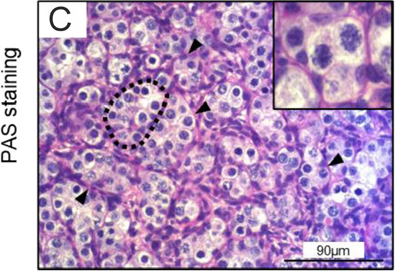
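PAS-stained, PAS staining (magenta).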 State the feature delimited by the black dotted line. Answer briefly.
ovigerous cords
